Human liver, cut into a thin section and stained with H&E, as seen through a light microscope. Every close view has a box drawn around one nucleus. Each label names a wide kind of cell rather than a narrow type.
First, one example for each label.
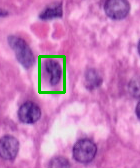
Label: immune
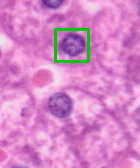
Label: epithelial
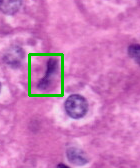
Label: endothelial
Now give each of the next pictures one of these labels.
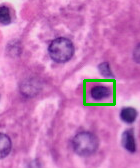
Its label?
immune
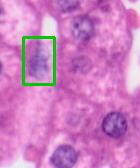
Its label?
endothelial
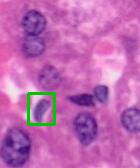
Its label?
endothelial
